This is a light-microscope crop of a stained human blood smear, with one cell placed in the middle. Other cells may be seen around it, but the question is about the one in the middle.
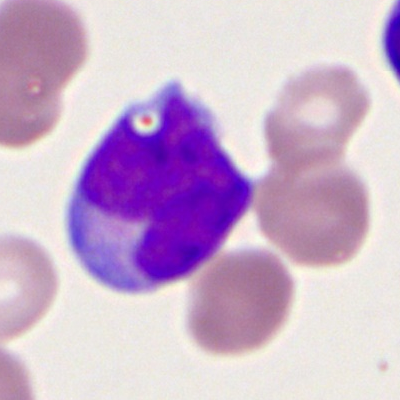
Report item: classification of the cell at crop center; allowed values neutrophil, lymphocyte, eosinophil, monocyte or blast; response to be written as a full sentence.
The cell of interest, in the center, is a blast.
